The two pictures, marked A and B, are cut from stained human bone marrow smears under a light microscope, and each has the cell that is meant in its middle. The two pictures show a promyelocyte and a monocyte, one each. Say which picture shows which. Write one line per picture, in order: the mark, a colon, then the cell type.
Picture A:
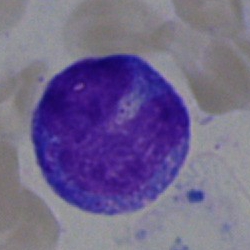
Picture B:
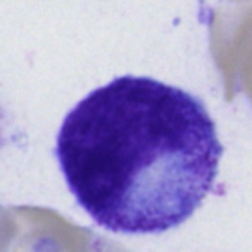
A: monocyte
B: promyelocyte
